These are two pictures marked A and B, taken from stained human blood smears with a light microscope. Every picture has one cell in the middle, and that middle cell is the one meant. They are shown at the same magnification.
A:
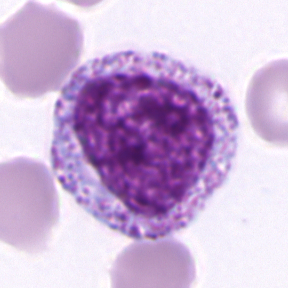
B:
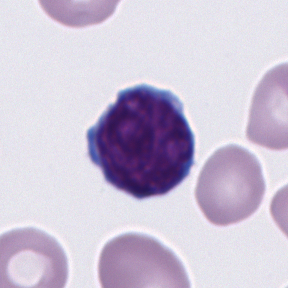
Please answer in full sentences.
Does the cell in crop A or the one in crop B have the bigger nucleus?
The nucleus in crop A is larger, with about 2 times the area of the one in crop B.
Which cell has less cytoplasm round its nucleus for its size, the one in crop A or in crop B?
In crop B the nucleus takes up the larger part of its cell.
